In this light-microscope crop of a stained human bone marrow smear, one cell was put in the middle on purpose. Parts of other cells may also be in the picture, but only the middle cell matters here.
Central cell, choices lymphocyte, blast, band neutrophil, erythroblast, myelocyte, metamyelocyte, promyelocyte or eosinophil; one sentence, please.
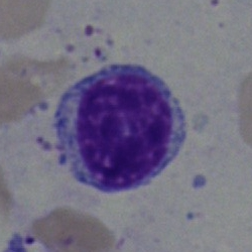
The middle position in this crop is taken by a lymphocyte.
